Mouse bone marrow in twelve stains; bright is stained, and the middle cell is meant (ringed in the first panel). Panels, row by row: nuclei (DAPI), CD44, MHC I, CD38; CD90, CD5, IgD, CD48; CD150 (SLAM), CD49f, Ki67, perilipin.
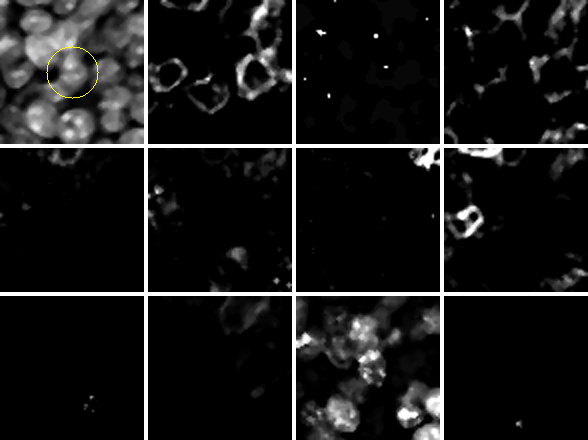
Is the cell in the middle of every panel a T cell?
No, it is an erythroblast.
